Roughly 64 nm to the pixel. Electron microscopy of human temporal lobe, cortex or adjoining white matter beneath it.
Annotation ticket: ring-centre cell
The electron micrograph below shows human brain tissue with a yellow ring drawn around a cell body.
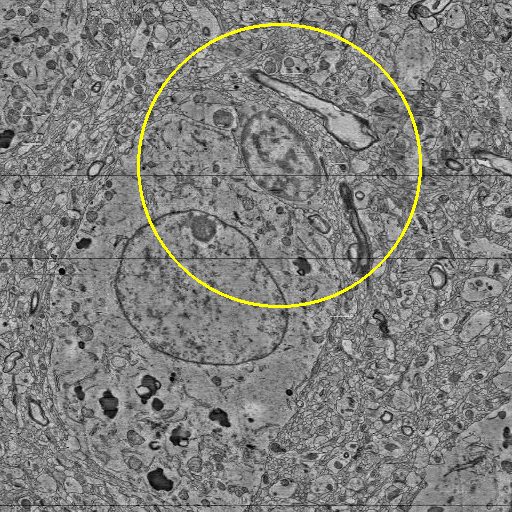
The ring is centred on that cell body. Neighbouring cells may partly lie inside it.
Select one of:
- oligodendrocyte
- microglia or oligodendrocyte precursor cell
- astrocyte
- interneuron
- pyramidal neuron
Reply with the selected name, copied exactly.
oligodendrocyte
